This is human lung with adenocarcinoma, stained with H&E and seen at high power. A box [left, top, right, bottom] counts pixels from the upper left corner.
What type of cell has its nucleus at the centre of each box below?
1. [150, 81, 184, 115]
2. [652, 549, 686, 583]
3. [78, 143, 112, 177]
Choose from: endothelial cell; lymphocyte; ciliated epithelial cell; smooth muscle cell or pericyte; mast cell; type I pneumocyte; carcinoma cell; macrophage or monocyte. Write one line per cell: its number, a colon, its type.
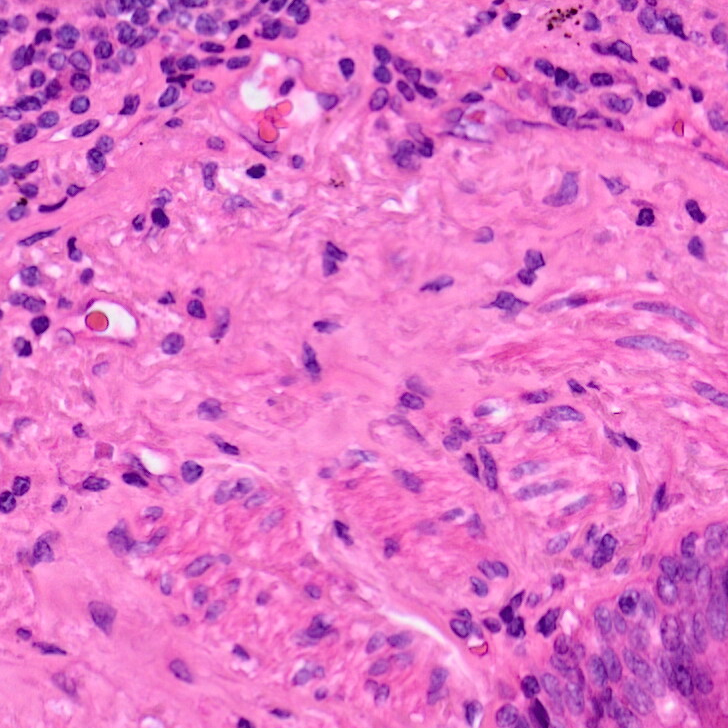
1: lymphocyte
2: ciliated epithelial cell
3: lymphocyte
